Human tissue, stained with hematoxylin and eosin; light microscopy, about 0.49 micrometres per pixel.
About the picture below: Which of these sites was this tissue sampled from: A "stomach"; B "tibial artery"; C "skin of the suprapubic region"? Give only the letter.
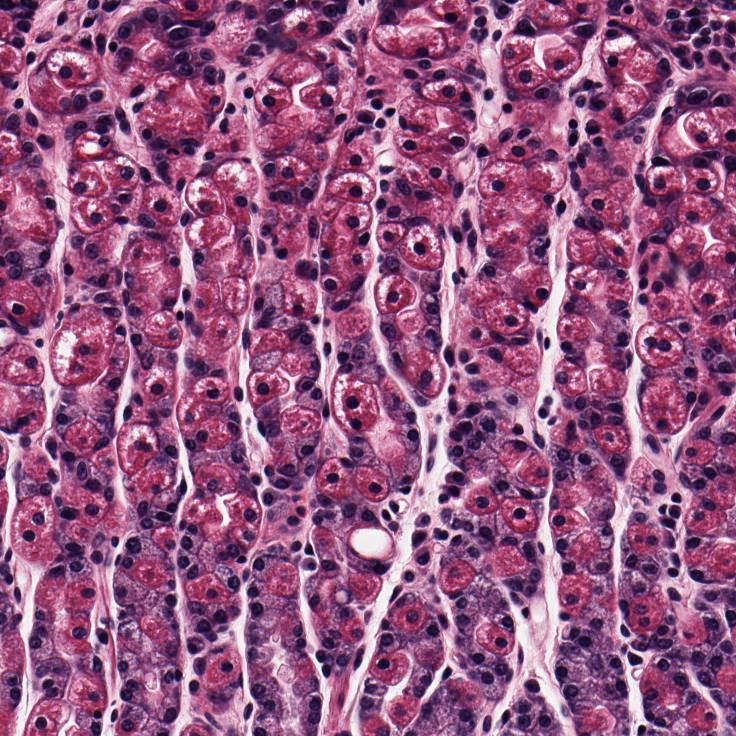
A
